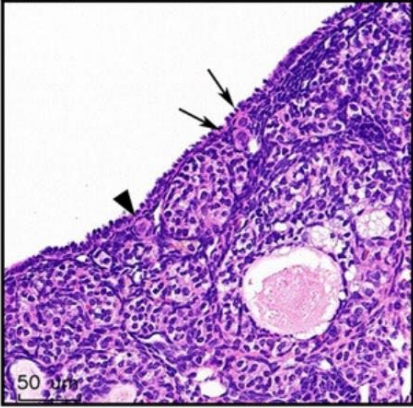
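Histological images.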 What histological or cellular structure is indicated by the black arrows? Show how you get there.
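Primordial follicles. Small round oocytes lie just beneath the surface of the section.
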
